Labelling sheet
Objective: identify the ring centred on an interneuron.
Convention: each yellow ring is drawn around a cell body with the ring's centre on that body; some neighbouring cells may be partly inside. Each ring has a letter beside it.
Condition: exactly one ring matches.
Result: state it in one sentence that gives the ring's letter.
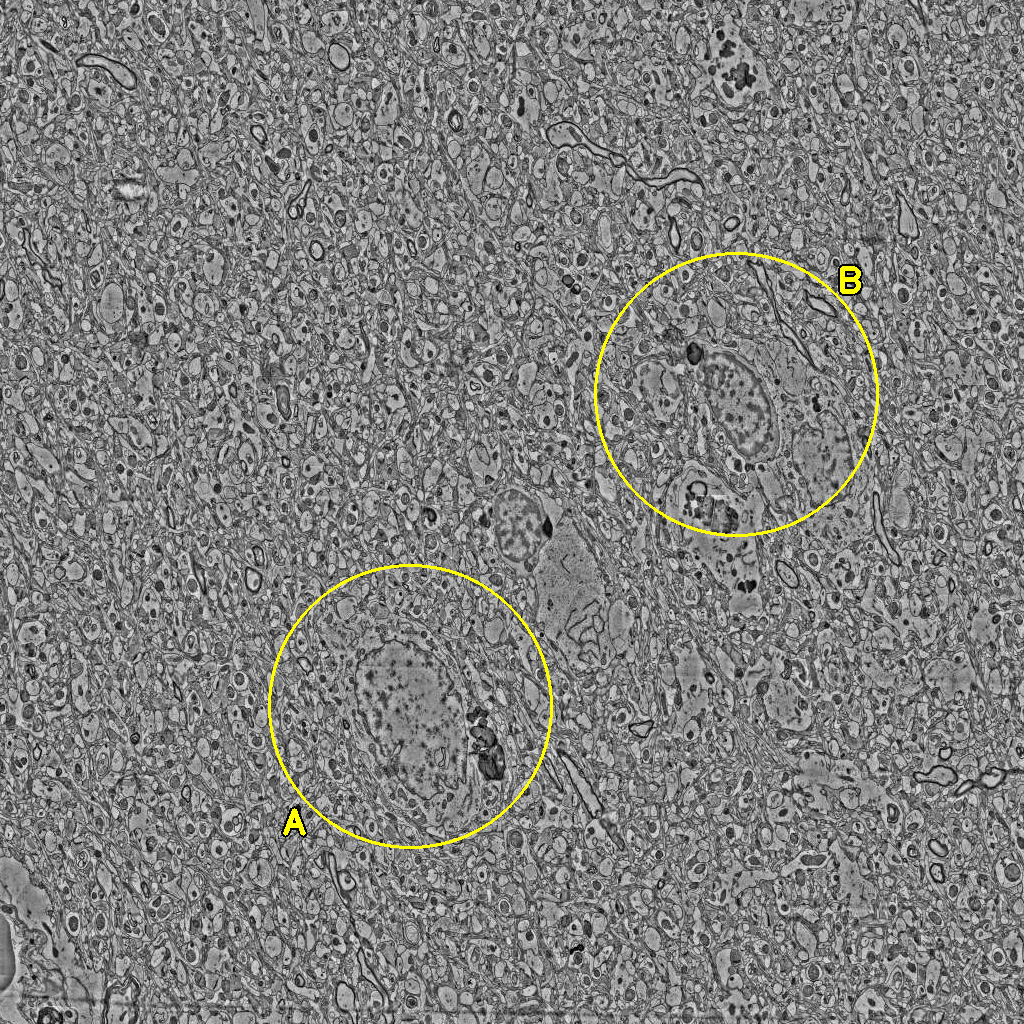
It lies at the centre of ring A.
